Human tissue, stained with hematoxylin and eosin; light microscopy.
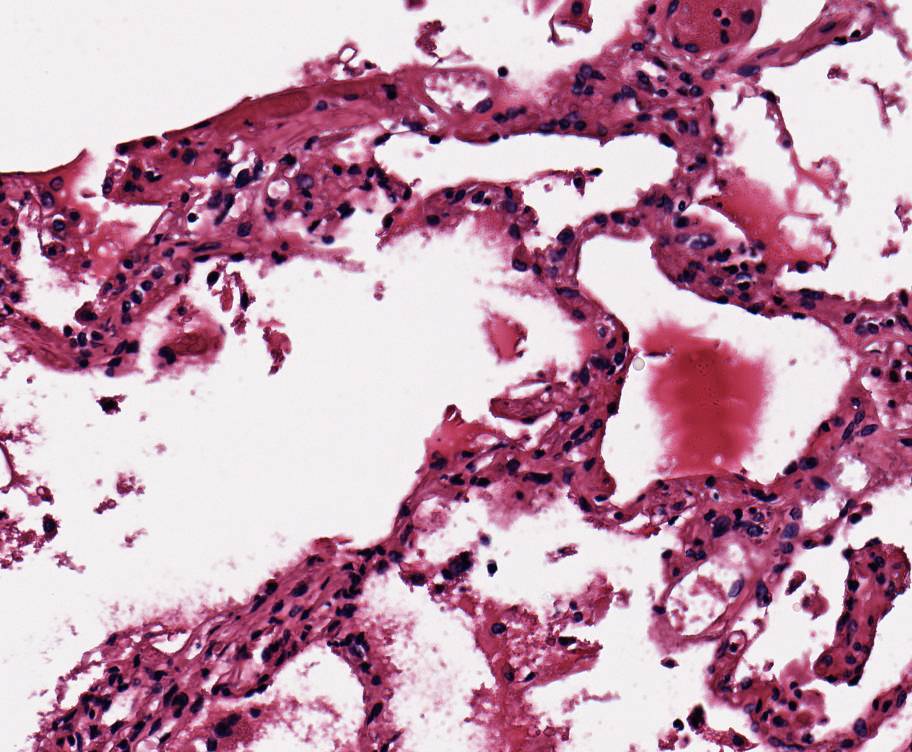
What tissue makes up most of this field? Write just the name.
alveolus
